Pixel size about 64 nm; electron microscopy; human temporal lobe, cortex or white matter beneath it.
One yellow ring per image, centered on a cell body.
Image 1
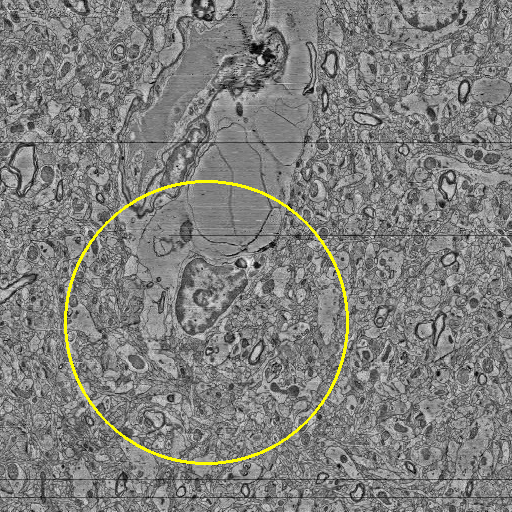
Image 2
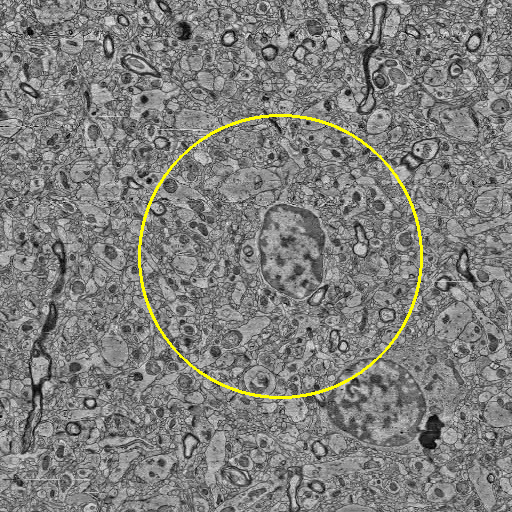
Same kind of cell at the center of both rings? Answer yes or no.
yes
